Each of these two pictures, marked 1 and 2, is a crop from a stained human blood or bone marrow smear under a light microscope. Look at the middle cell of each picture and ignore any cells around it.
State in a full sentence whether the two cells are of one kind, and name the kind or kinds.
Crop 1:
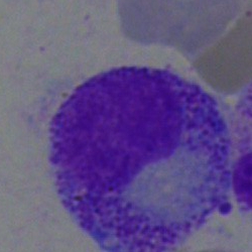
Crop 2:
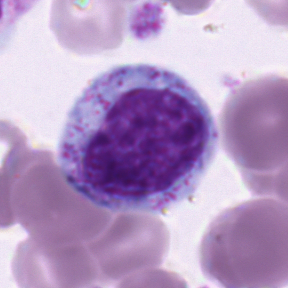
Yes, both crops show myelocytes, and nothing else needs adding.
